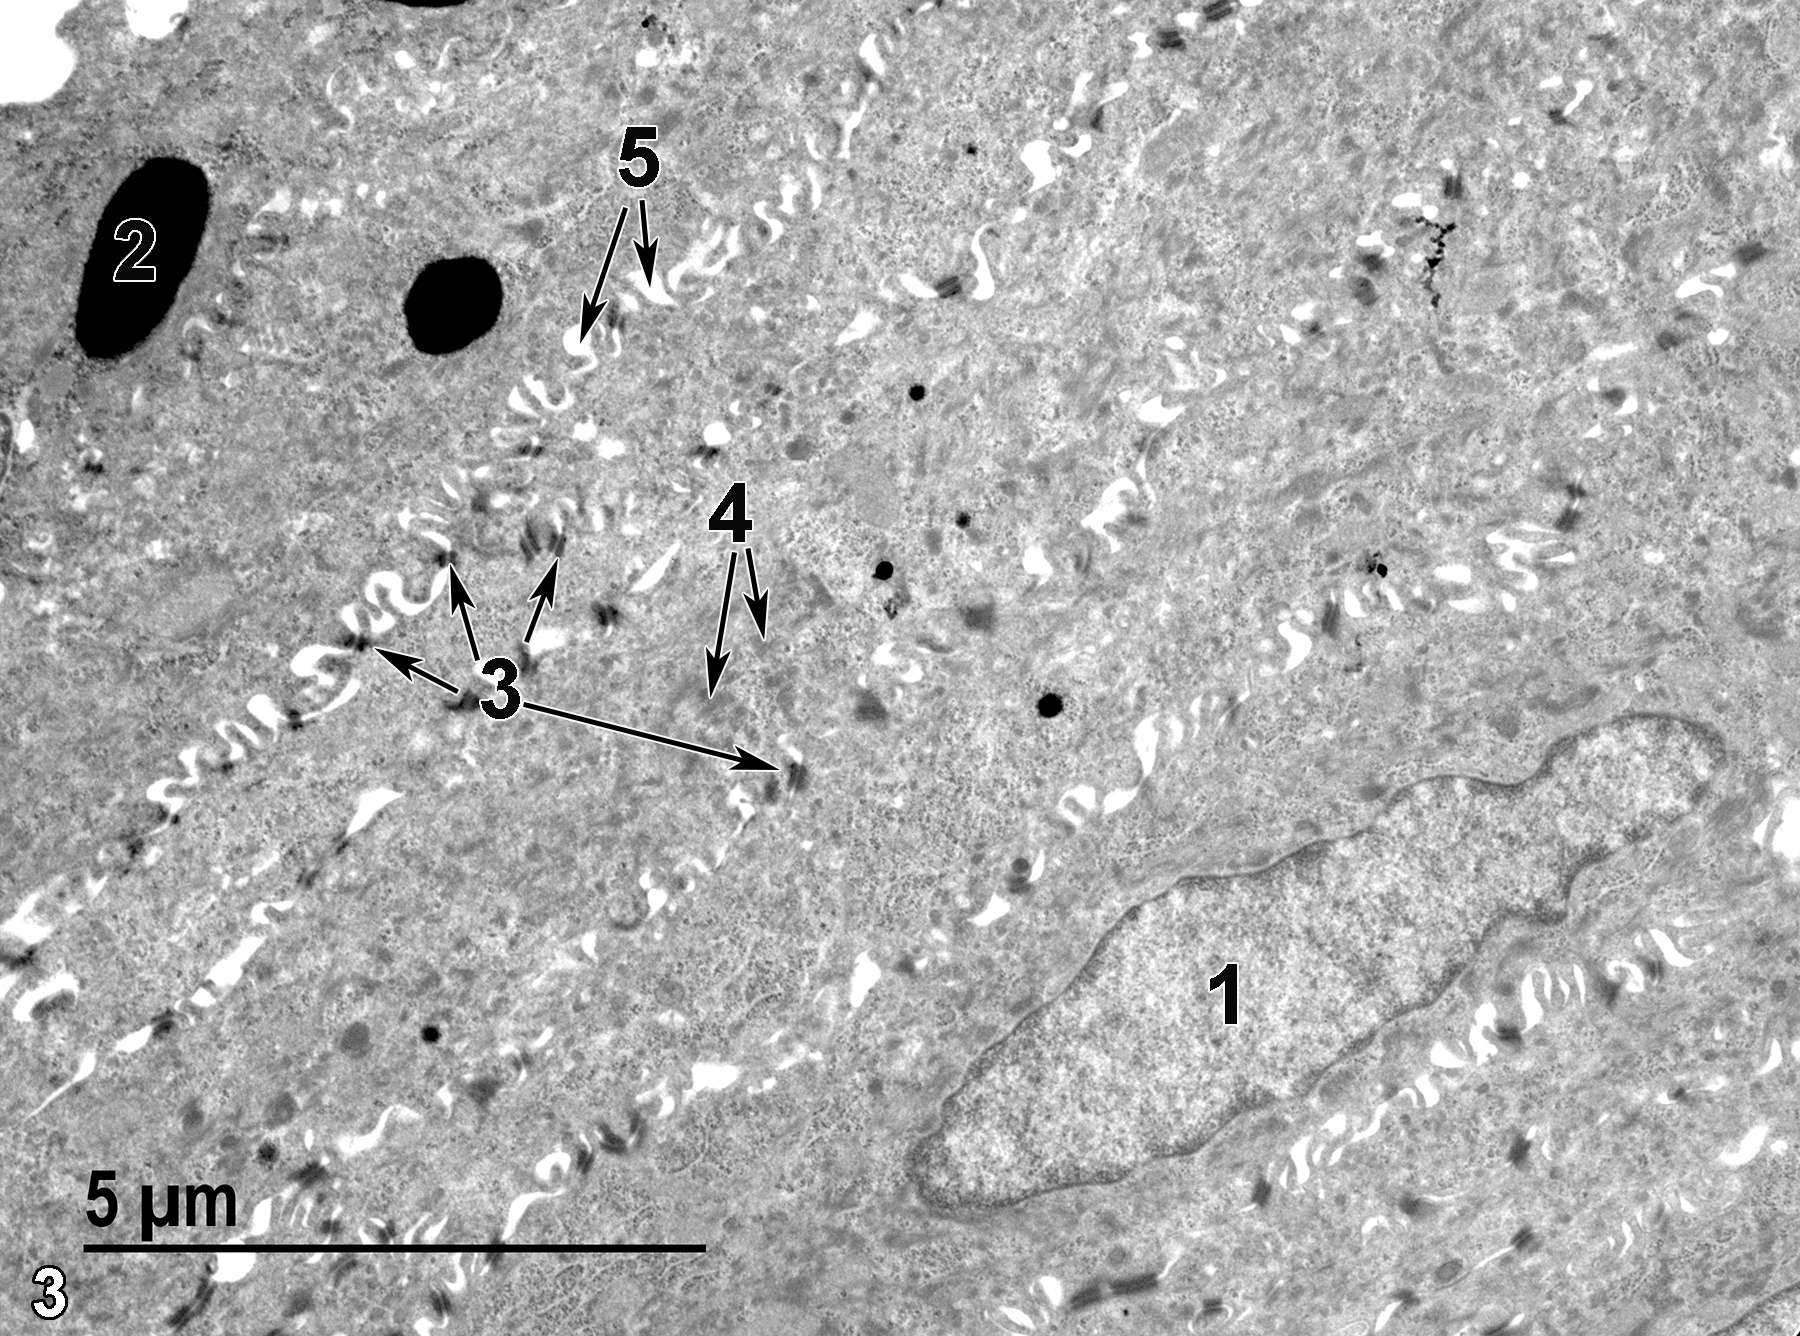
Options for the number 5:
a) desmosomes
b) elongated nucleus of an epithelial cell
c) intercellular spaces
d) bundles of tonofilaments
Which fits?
c) intercellular spaces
